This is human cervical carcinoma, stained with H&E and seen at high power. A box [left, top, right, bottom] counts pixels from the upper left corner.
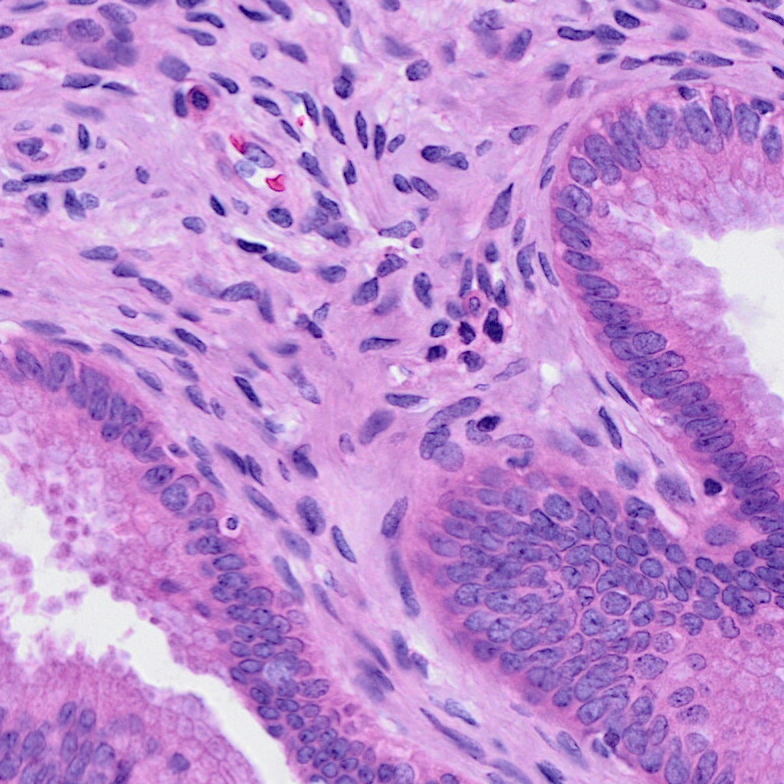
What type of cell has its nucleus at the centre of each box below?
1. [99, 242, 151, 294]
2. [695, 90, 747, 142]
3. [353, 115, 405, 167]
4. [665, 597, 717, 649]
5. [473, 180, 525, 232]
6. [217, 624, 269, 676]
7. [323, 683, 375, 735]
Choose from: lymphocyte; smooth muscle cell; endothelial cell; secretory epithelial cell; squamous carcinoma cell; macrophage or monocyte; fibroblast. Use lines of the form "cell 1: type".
cell 1: fibroblast
cell 2: secretory epithelial cell
cell 3: fibroblast
cell 4: secretory epithelial cell
cell 5: fibroblast
cell 6: secretory epithelial cell
cell 7: secretory epithelial cell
